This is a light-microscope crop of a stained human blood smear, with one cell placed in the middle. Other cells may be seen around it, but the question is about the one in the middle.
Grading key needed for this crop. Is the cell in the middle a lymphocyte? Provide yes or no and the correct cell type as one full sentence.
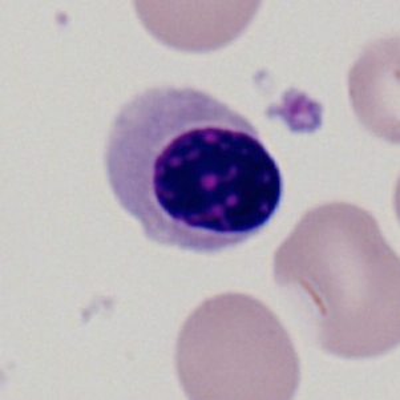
No, the cell at the center of this crop is an erythroblast instead of a lymphocyte.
